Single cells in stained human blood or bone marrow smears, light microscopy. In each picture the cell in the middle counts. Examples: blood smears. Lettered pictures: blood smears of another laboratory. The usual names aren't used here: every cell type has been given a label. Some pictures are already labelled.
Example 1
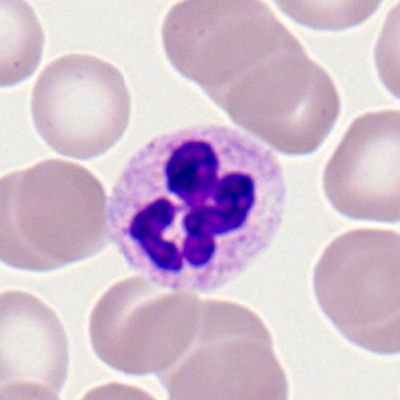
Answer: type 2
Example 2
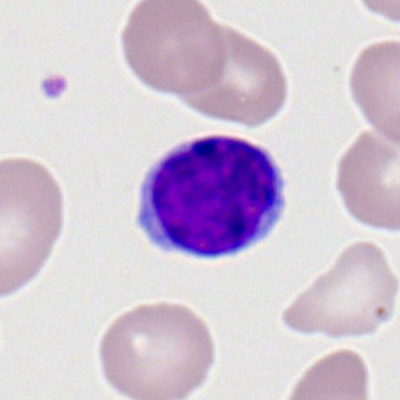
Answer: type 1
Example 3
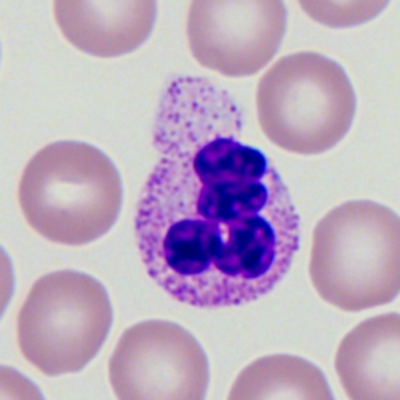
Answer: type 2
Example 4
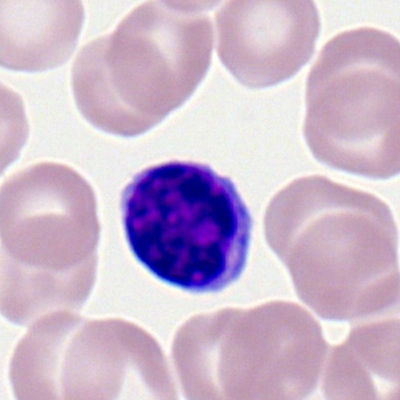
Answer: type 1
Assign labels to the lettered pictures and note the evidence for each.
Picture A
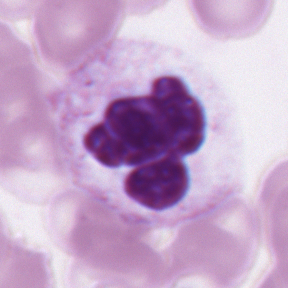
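Answer: type 2. A wide rim of pale pink cytoplasm surrounds the nucleus.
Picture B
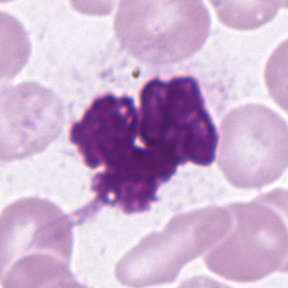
Answer: type 2. The nucleus is divided into several irregular lobes that remain joined together.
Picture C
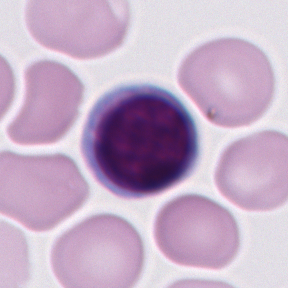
Answer: type 1. The cytoplasm forms only a thin rim around the nucleus.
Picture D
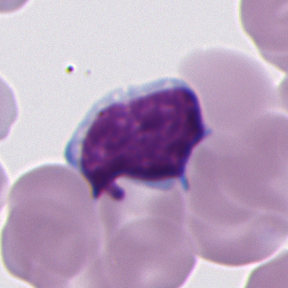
Answer: type 1. The cytoplasm is a scant pale blue rim around the nucleus.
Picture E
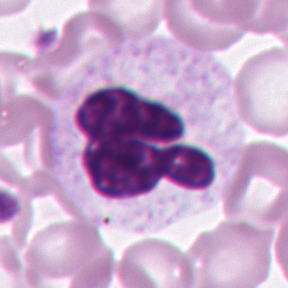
Answer: type 2. The cytoplasm is abundant and very pale.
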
